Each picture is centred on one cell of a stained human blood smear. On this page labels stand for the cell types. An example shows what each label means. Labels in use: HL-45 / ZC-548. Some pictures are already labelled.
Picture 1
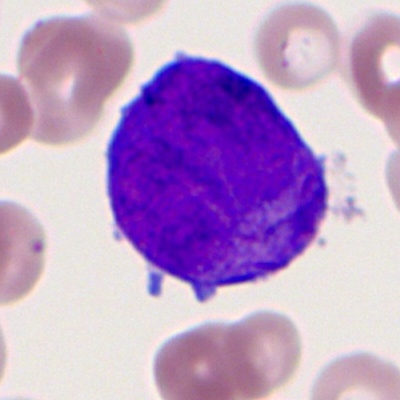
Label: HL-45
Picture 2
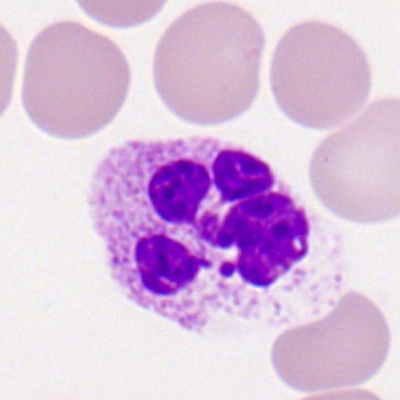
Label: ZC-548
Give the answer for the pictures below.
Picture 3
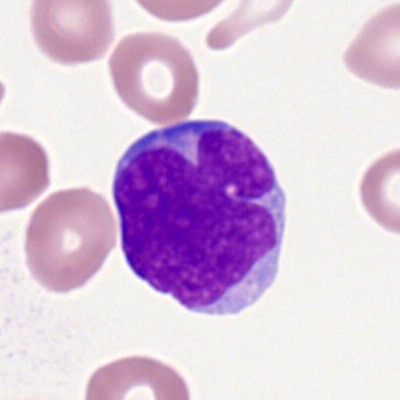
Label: HL-45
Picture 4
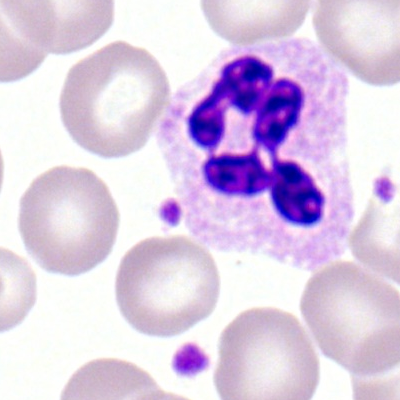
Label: ZC-548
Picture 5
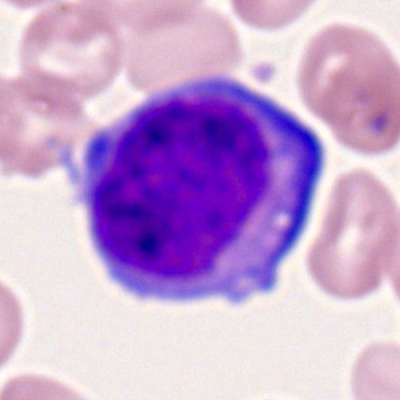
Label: HL-45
